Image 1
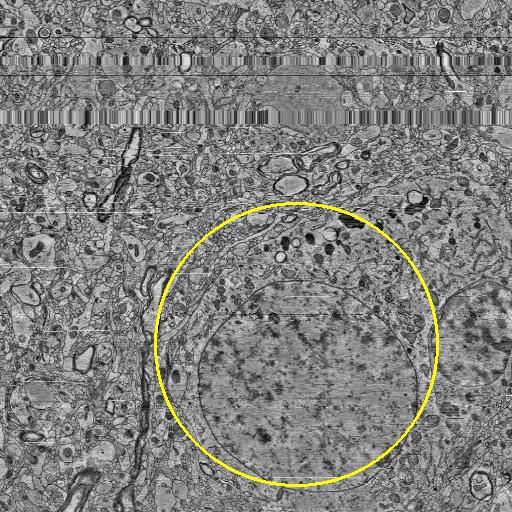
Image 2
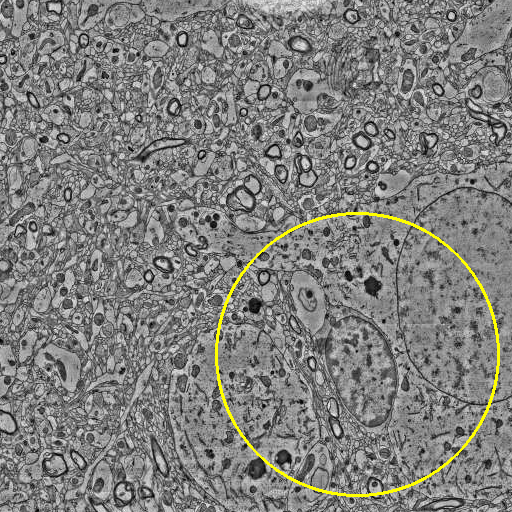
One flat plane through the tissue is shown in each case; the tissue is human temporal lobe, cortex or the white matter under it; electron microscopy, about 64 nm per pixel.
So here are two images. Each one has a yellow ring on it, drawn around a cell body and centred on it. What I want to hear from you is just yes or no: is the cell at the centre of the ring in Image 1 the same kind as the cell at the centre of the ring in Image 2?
no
